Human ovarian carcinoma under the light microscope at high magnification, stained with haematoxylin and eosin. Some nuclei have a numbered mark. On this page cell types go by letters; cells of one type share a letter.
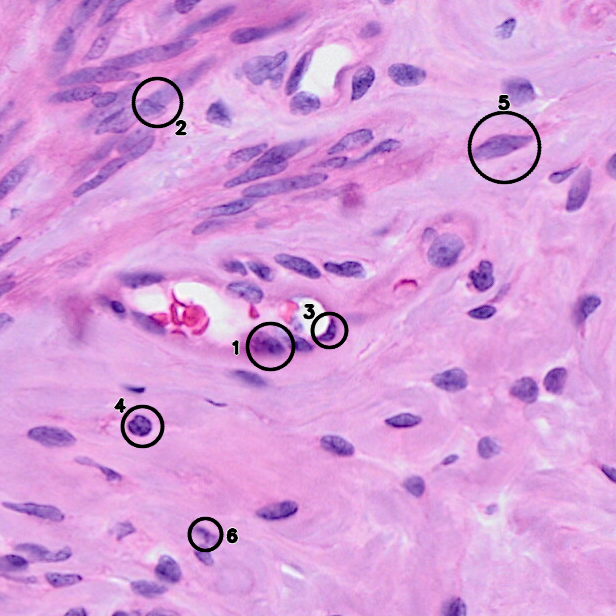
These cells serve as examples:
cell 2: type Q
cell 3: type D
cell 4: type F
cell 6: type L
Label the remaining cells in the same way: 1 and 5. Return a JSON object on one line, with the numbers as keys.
{"1": "type D", "5": "type Q"}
